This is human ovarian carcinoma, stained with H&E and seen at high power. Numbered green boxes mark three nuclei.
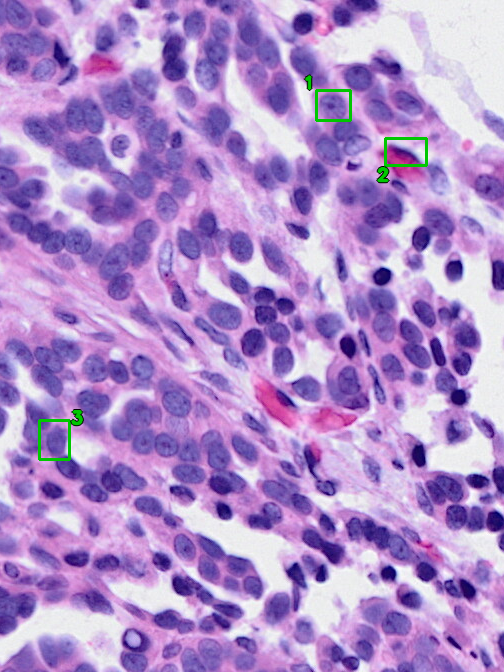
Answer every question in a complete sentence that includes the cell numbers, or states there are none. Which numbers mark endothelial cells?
In short, cell 2 is an endothelial cell; the others are not.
